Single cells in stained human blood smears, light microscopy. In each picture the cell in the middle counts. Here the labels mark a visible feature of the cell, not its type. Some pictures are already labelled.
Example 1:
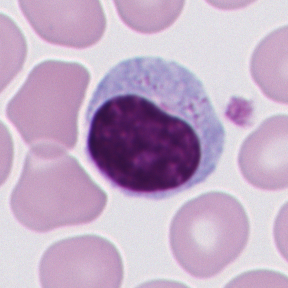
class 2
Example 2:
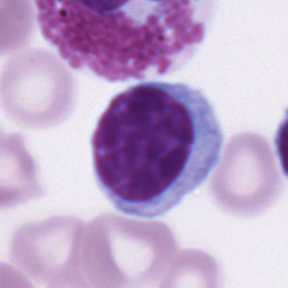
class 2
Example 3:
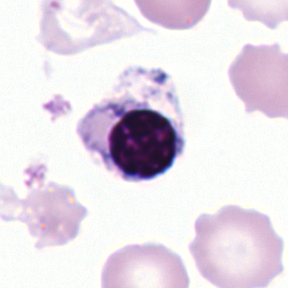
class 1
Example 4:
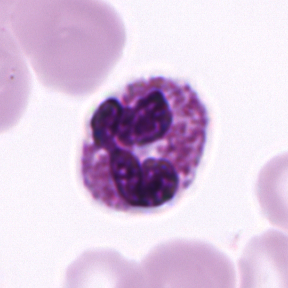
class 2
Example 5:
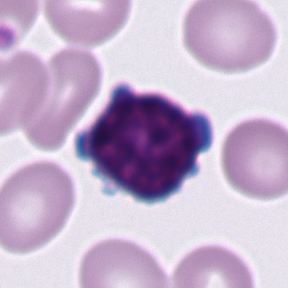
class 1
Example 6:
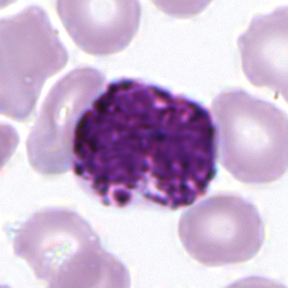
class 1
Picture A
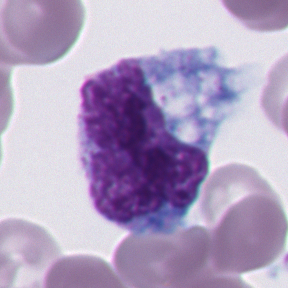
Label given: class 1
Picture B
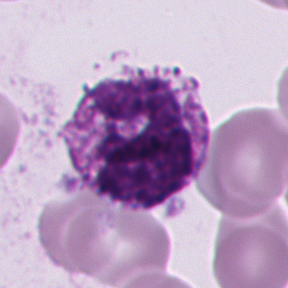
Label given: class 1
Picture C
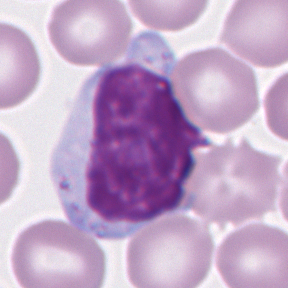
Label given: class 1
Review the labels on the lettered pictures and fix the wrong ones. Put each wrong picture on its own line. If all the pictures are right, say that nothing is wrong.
All labels are correct.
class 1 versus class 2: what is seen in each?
Seen in class 1: ragged outline or projections; seen in class 2: smooth outline.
